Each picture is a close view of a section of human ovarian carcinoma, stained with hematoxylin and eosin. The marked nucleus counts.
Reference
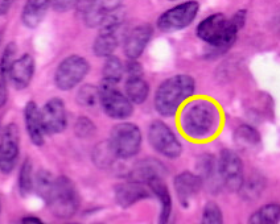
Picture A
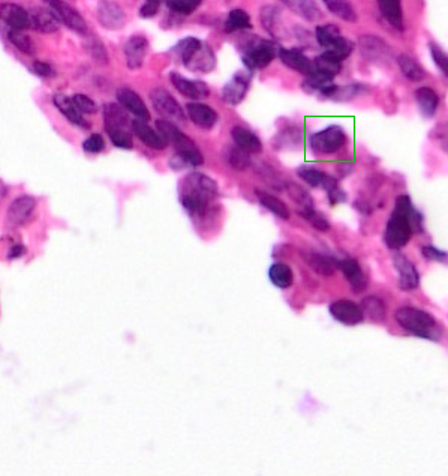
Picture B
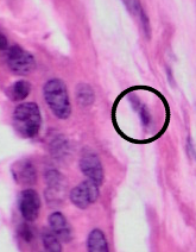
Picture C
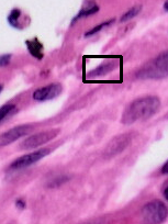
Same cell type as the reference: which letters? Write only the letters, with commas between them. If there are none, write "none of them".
A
